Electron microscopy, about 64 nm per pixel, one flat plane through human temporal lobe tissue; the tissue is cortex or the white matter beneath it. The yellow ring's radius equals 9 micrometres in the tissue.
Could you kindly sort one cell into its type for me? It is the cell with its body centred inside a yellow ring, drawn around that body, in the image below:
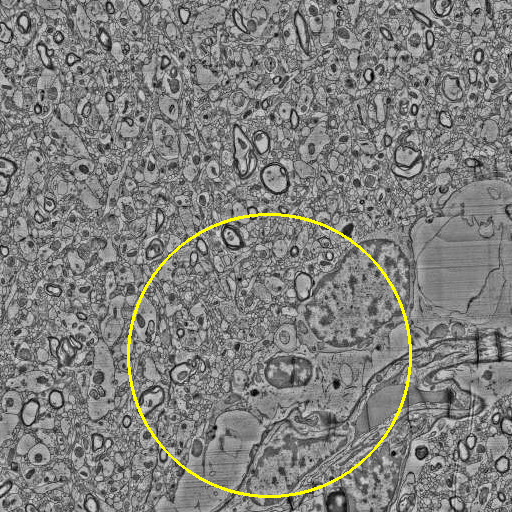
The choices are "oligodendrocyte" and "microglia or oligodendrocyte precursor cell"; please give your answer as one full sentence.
The cell whose body lies centred in the yellow ring here is a microglial cell or oligodendrocyte precursor cell.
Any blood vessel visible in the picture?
Yes.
